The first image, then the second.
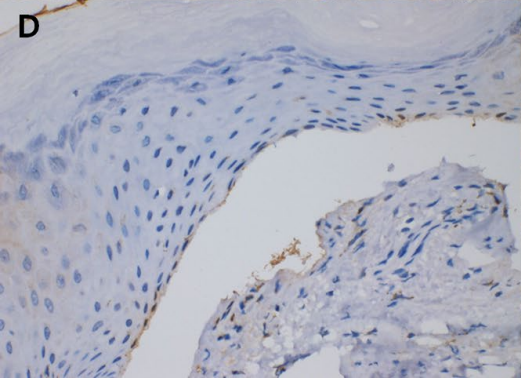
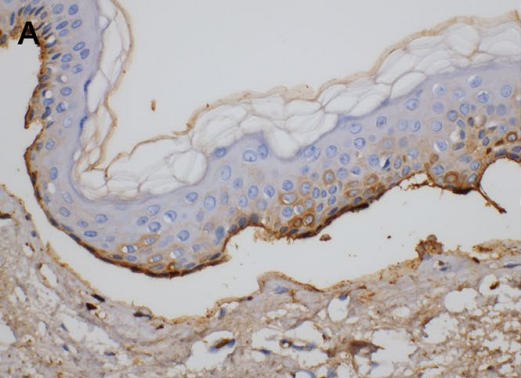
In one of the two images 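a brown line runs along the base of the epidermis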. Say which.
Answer: The second image.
